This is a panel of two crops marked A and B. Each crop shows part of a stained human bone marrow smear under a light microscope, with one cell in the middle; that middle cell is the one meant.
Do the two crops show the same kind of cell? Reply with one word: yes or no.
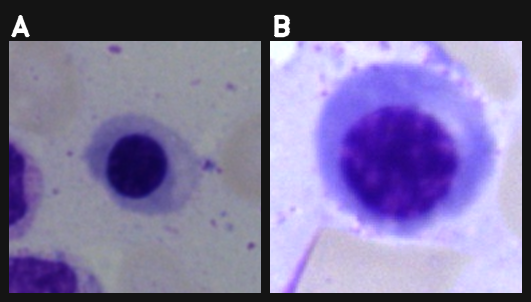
yes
